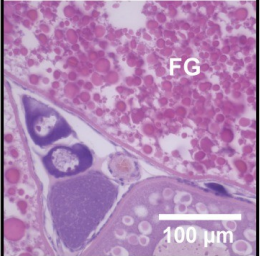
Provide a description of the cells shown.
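Ovarian tissue dominated by a full-grown follicle whose ooplasm is packed with round pink yolk granules of varied size. At the lower left lie smaller oocytes with purple cytoplasm and large nuclei, separated by thin follicle walls. Stroma between follicles is scant.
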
